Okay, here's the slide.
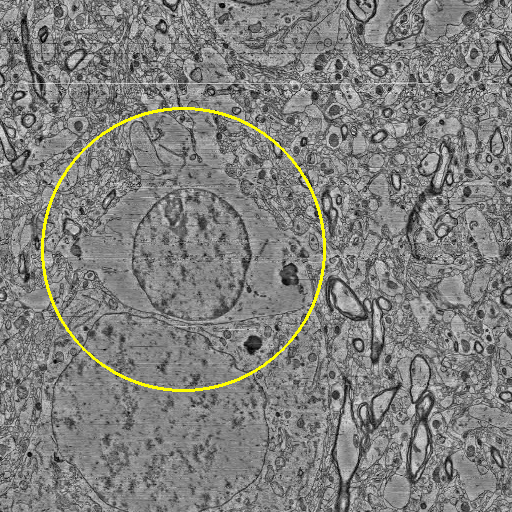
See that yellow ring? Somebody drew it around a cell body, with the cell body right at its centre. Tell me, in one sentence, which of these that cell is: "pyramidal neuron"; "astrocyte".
The cell in the middle of the ring is an astrocyte.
